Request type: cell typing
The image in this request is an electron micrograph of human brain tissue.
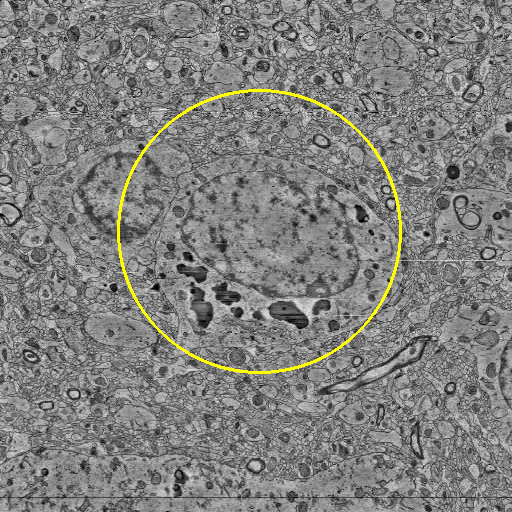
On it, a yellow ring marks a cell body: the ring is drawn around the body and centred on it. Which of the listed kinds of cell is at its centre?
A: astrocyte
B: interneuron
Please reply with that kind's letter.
B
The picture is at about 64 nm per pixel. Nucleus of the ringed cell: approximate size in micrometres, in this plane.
About 12 by 8 micrometers for the nucleus, in this plane.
